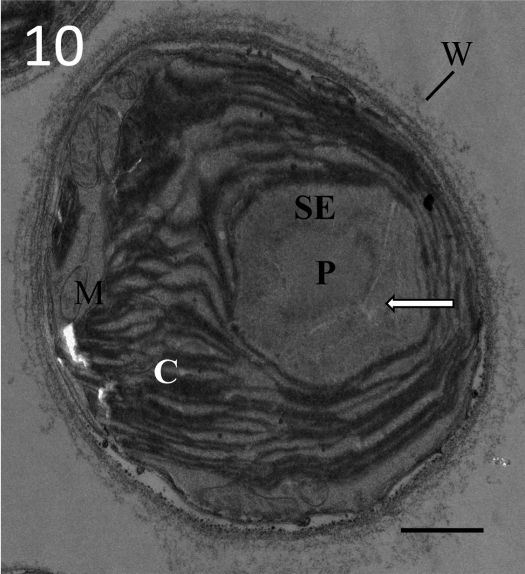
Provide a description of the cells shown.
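A rounded algal cell within its wall is filled largely by a chloroplast whose dark thylakoid bands wrap around a central pyrenoid. The pyrenoid is bordered by a starch envelope in pieces, and thin straight thylakoids run into its matrix.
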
